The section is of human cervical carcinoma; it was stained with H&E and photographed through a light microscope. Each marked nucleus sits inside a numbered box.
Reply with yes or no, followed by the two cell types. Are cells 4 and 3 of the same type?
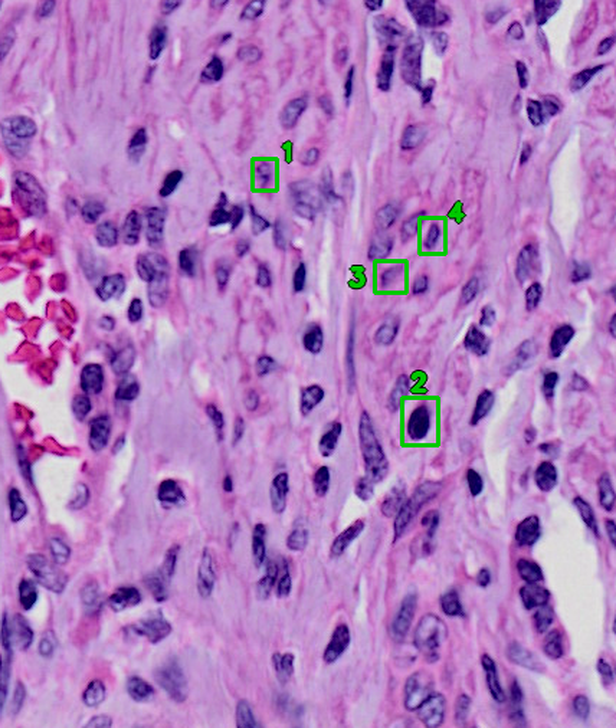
Yes, of the numbered cells, 4 and 3 are both smooth muscle cells.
